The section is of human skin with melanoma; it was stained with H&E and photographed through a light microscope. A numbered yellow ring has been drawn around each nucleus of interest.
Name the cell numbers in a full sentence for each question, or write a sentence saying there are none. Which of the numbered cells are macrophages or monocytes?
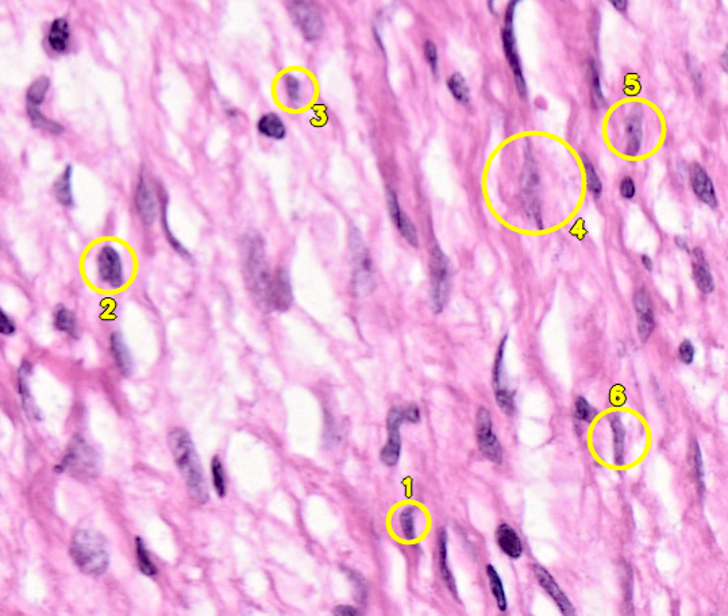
Cells 2 and 3 are macrophages or monocytes by cell type.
